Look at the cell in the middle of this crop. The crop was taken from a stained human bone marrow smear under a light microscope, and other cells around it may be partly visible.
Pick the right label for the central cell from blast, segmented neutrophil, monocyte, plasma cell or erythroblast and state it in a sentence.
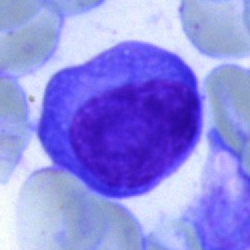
In the middle of this smear crop is a plasma cell.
